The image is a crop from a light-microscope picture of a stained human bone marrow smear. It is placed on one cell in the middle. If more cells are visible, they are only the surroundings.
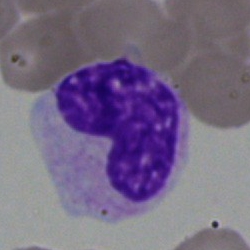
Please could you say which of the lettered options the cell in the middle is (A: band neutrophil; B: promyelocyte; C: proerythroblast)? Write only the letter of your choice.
A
